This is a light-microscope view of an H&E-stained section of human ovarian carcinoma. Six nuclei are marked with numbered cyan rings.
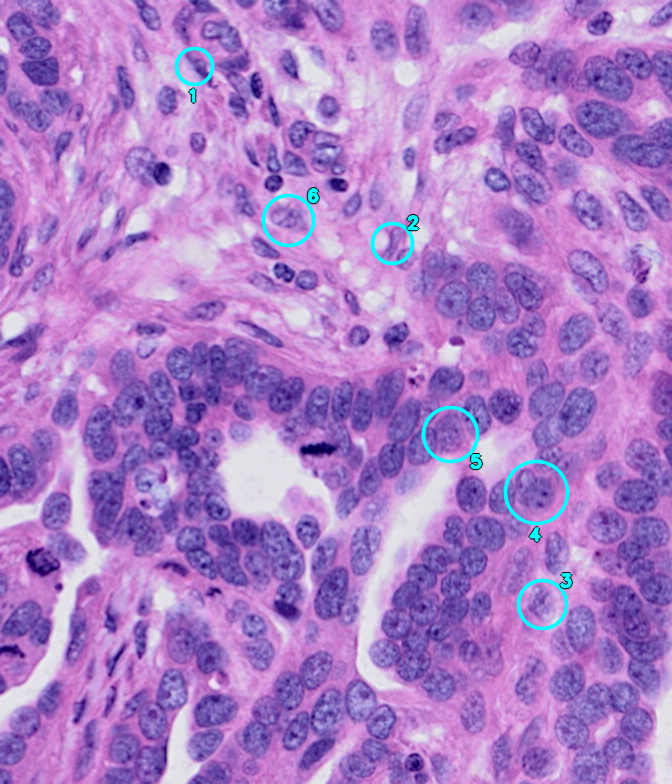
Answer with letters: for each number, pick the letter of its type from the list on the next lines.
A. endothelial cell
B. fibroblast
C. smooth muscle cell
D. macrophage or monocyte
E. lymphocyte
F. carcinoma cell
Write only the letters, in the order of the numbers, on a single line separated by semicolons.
B; B; B; F; F; B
